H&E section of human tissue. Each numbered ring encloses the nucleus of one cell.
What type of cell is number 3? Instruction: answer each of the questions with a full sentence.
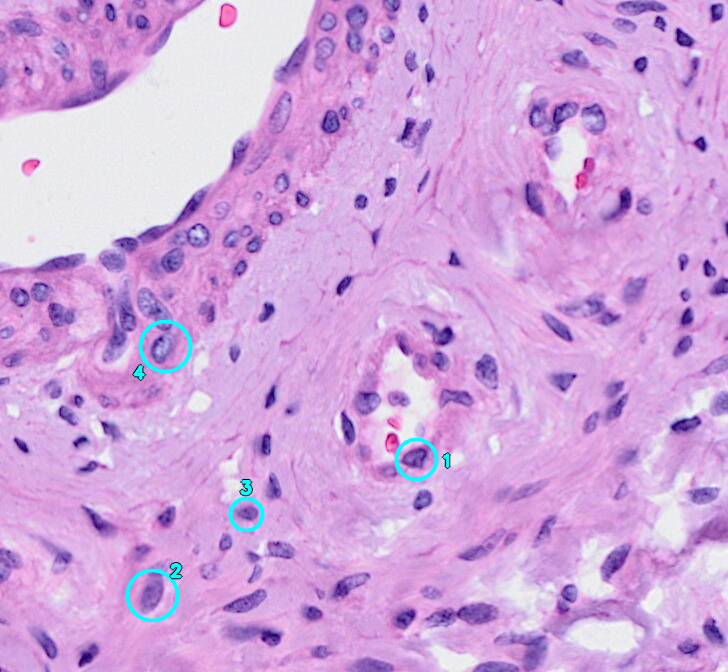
Of the numbered cells, the one labelled 3 is a fibroblast.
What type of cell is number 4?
The correct label for cell 4 is a smooth muscle cell.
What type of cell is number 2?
The correct answer for cell 2 is a fibroblast.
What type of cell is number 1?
The cell referenced by the number 1 is an endothelial cell in this field.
